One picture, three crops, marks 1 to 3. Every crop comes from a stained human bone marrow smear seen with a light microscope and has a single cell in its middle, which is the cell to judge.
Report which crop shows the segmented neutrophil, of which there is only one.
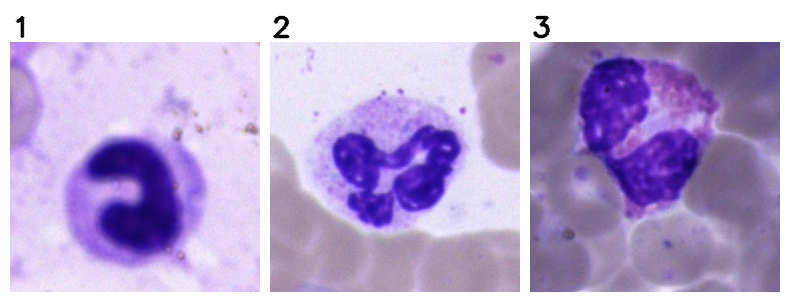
2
